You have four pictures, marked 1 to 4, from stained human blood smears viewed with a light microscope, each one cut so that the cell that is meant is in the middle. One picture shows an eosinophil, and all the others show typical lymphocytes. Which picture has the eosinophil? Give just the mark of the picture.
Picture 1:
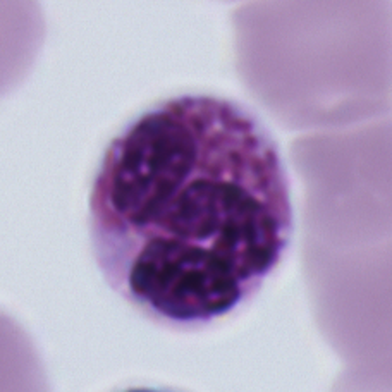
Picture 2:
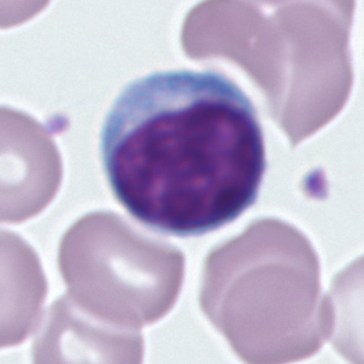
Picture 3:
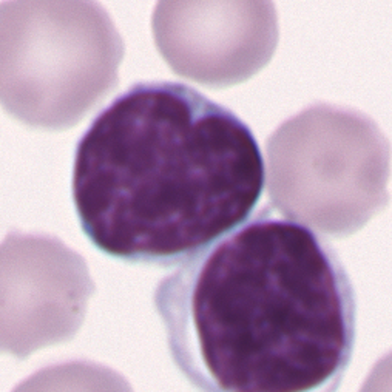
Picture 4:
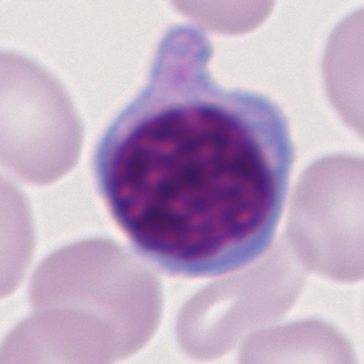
1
